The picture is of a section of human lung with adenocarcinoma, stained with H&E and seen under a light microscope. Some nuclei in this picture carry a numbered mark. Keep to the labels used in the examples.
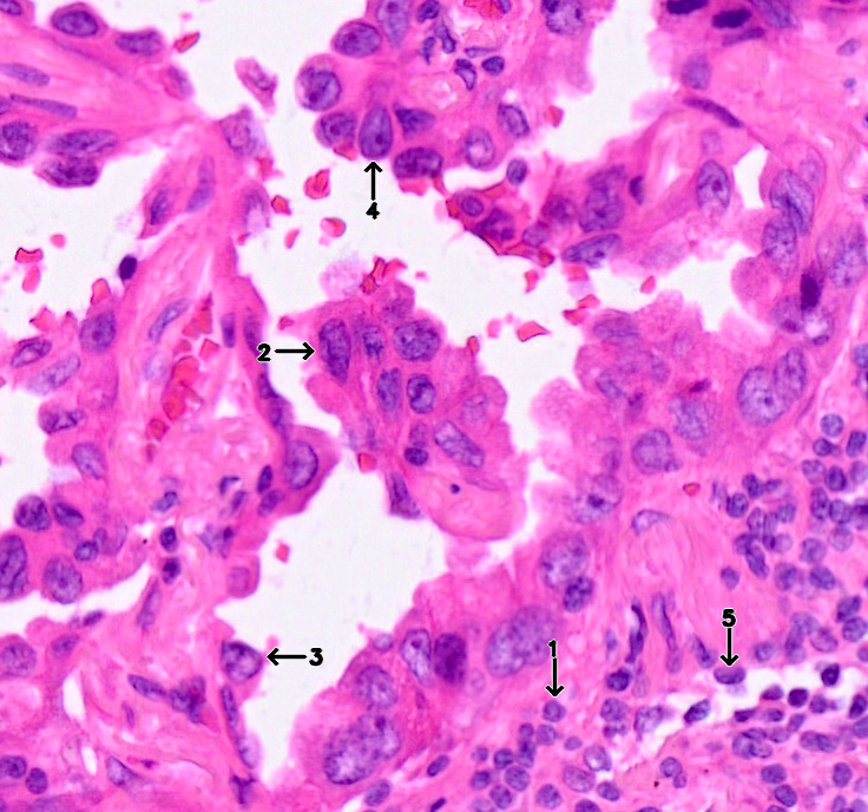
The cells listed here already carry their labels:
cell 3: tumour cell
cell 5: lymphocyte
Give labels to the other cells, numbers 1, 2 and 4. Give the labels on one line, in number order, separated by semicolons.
lymphocyte; tumour cell; tumour cell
